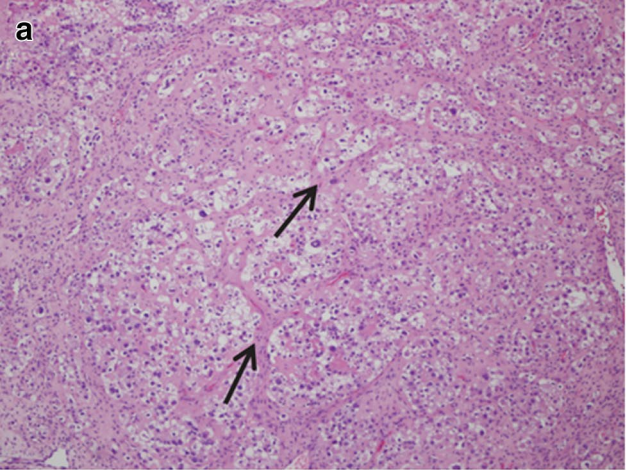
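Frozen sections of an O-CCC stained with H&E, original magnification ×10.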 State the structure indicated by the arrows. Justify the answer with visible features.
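Thin pink branching bands run between nests of cells. The pale-staining cells are grouped in nests framed by these bands.
Conclusion: trabecular connective tissue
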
